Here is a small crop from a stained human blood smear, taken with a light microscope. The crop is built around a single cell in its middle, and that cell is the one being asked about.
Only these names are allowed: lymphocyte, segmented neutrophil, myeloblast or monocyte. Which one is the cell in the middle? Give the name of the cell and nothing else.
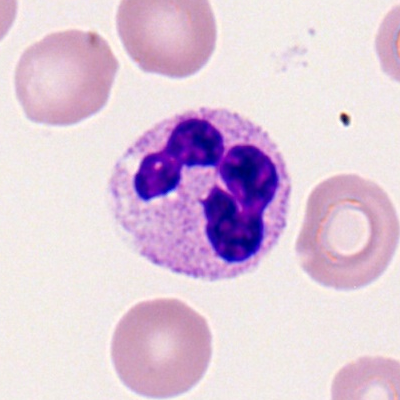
segmented neutrophil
